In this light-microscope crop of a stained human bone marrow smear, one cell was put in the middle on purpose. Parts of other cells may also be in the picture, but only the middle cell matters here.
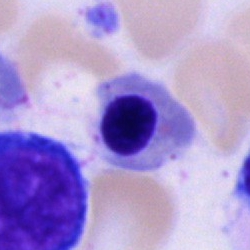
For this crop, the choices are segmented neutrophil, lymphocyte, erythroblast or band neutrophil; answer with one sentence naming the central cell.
The cell in the exact centre of the crop is an erythroblast.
